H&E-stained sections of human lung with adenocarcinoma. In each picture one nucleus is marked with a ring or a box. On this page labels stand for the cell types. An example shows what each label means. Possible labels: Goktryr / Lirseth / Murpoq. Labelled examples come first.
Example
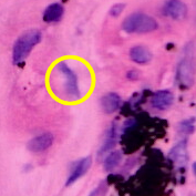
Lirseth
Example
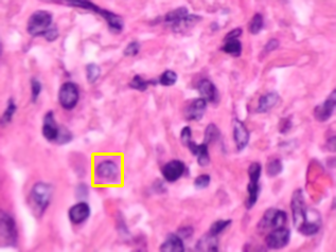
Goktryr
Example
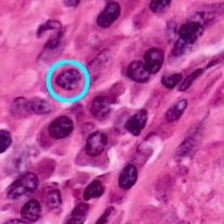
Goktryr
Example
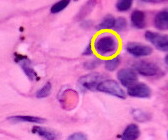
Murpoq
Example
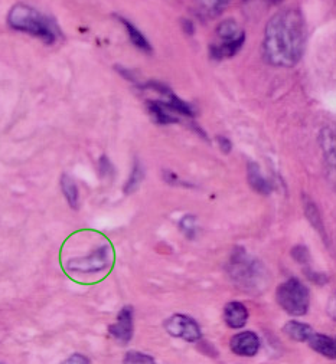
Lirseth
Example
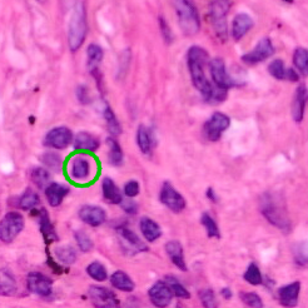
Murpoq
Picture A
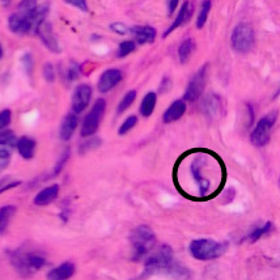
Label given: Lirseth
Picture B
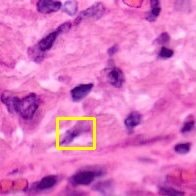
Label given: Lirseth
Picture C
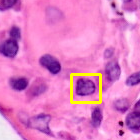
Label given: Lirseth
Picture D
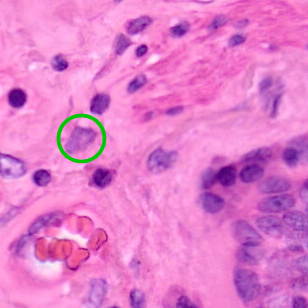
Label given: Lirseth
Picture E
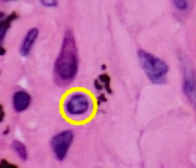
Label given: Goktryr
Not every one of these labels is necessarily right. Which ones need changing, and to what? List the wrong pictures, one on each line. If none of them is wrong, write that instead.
C: change Lirseth to Goktryr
